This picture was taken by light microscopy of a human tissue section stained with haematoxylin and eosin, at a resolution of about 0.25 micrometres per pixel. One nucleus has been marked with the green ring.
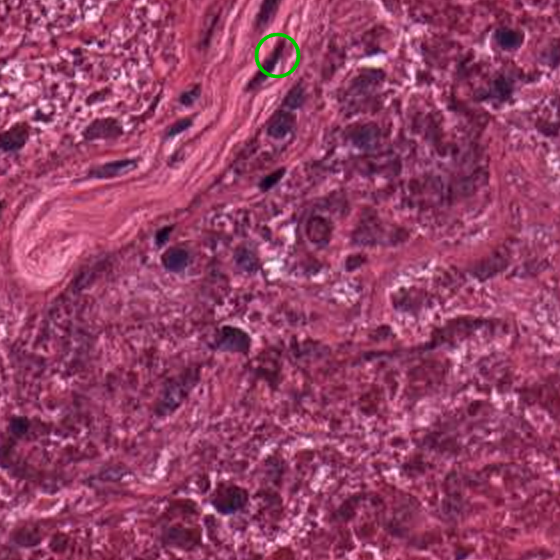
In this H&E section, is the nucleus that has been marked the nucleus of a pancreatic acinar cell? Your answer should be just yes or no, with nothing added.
no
